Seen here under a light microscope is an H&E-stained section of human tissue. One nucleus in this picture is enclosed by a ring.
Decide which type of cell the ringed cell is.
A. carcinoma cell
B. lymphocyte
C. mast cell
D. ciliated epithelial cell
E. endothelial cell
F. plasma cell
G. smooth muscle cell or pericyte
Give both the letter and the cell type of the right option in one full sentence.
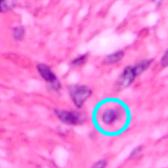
Here the correct option is G, since the ringed cell is a smooth muscle cell or pericyte.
